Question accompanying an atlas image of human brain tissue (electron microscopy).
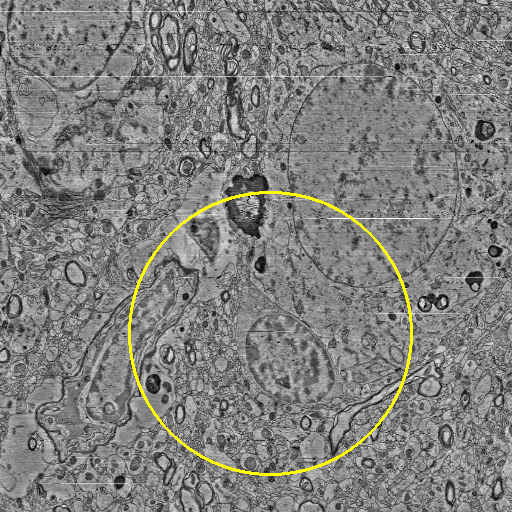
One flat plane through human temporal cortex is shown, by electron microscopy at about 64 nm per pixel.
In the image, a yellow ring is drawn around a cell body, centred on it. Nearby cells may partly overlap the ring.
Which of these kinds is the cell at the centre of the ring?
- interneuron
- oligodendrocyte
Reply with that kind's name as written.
oligodendrocyte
